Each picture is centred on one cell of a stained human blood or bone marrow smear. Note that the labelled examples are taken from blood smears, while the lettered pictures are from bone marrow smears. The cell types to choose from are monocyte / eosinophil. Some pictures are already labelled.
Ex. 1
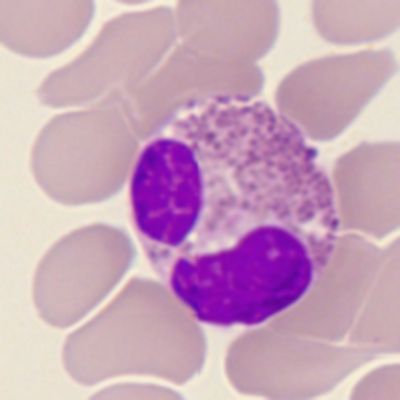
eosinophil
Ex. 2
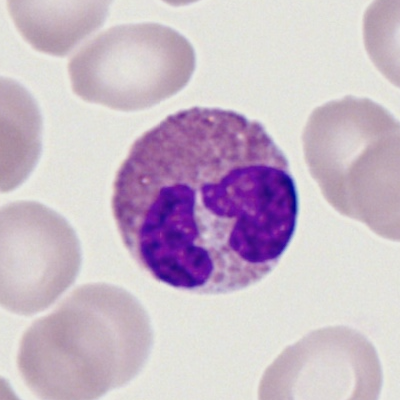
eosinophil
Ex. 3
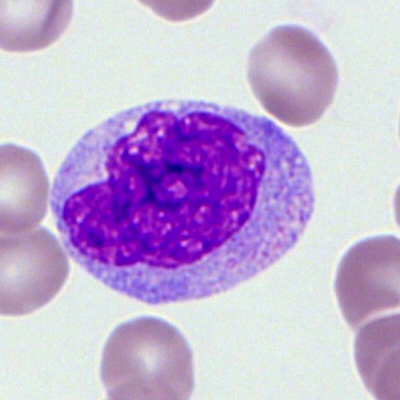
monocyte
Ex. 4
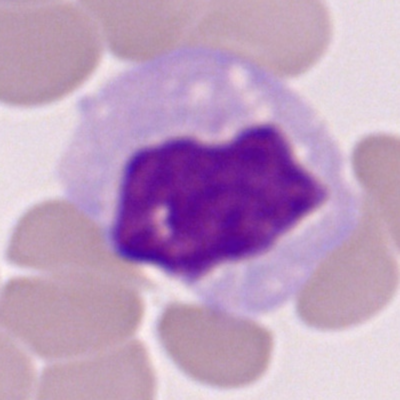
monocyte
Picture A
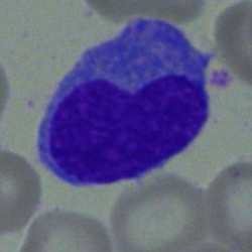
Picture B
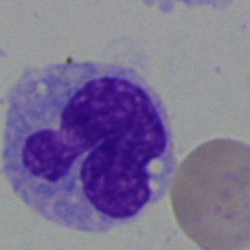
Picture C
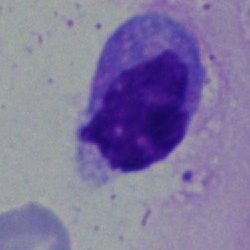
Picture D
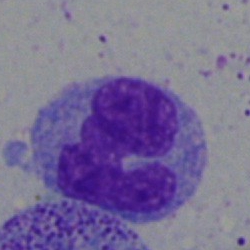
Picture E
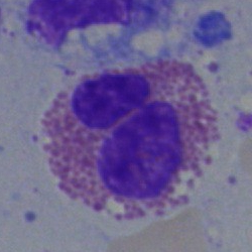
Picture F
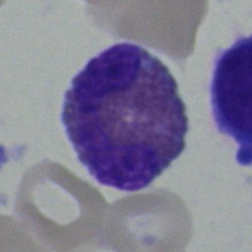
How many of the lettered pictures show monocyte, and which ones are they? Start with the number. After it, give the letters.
4: A, B, C, D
